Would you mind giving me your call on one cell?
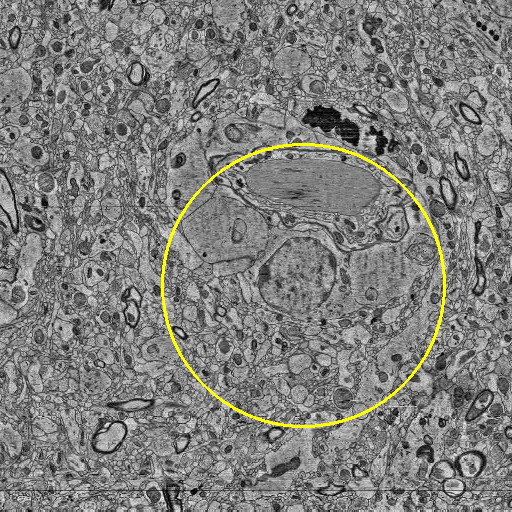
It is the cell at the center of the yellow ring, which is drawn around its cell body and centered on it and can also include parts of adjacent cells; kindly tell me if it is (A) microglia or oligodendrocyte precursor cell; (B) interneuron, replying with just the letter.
A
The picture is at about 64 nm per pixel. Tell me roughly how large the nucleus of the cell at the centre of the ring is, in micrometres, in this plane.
The ringed cell's nucleus is about 5 micrometres across in this plane.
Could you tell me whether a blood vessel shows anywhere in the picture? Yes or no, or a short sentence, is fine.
Yes, there is a blood vessel.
